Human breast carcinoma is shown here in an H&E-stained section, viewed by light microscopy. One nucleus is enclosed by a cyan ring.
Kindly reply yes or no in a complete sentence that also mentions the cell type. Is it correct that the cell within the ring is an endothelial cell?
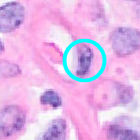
Yes, the identification stands: the cell within the ring is an endothelial cell.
